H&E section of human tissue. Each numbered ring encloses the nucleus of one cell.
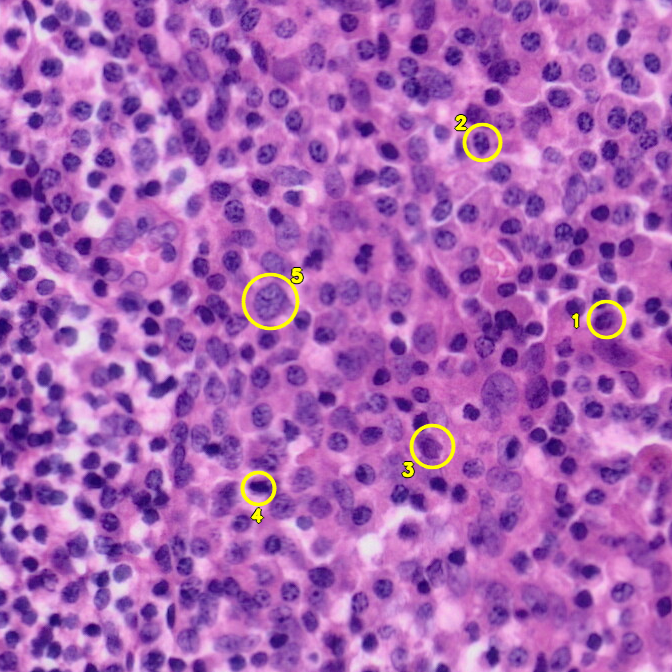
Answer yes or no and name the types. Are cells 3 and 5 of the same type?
Yes, cell 3 is one of the squamous epithelial cells, and so is cell 5.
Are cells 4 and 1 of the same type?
Yes, the cells marked 4 and 1 are both plasma cells.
